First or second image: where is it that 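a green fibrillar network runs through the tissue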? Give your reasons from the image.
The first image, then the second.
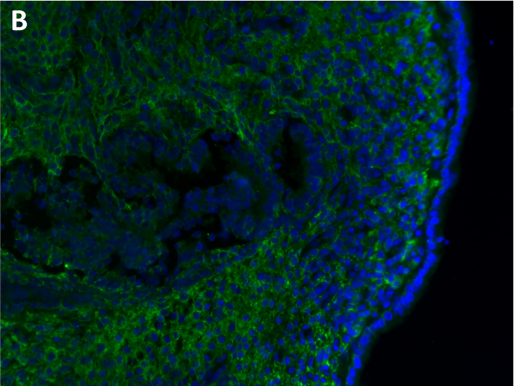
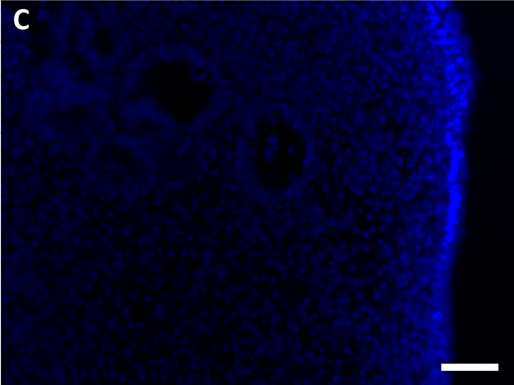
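Second image: only blue nuclei are visible, with no green anywhere. First image: green fibrillar staining lies among the blue nuclei across the tissue. So: the first image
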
